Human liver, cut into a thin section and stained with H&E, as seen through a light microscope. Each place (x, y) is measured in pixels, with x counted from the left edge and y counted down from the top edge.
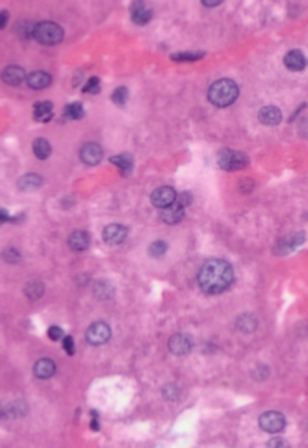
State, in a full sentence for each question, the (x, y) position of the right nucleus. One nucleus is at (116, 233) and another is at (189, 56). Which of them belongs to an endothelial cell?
Out of the two, it is the nucleus at (189, 56) that belongs to an endothelial cell.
